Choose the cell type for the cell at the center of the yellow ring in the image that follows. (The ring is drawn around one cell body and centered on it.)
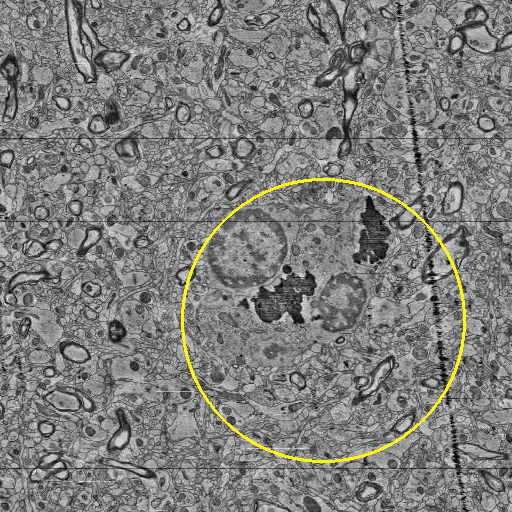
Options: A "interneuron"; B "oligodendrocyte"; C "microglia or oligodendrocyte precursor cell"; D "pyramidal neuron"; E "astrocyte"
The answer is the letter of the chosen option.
B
